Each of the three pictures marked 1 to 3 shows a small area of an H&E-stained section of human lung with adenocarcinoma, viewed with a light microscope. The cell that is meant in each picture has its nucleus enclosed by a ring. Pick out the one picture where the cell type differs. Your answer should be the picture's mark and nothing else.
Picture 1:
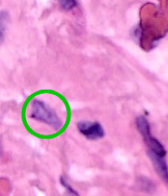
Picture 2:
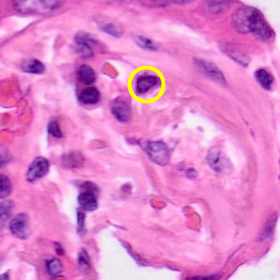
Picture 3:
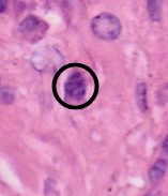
1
